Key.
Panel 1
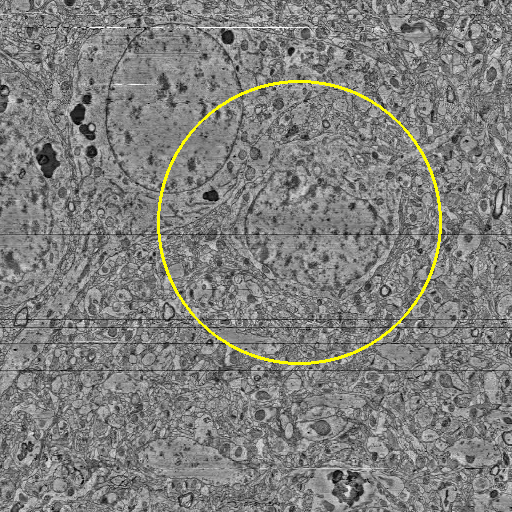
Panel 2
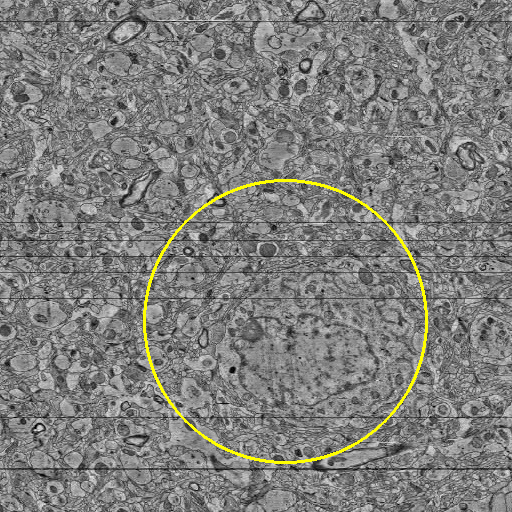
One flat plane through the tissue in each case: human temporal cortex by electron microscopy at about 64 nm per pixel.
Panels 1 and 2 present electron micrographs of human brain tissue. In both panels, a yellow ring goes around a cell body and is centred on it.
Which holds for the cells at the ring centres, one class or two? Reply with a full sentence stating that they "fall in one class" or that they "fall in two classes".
Taken together, the ring-centre cells of the two panels fall in one class.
